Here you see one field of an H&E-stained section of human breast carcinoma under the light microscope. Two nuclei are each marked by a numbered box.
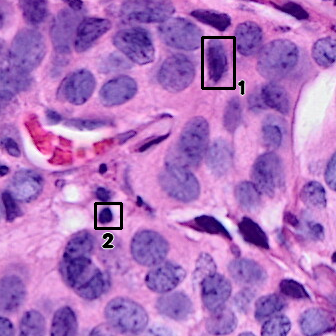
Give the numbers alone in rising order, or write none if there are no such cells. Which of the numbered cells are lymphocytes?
2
